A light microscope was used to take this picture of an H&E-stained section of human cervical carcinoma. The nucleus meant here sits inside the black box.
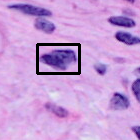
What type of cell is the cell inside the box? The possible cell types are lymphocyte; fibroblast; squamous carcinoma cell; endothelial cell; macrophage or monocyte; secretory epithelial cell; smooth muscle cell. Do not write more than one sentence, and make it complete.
In the stained section, the cell inside the box is a fibroblast.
